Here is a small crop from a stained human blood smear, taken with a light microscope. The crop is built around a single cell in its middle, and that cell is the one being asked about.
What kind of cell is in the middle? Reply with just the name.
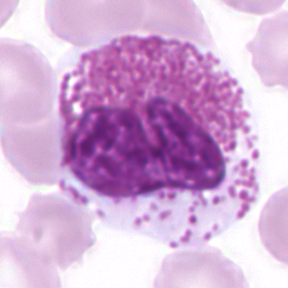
eosinophil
